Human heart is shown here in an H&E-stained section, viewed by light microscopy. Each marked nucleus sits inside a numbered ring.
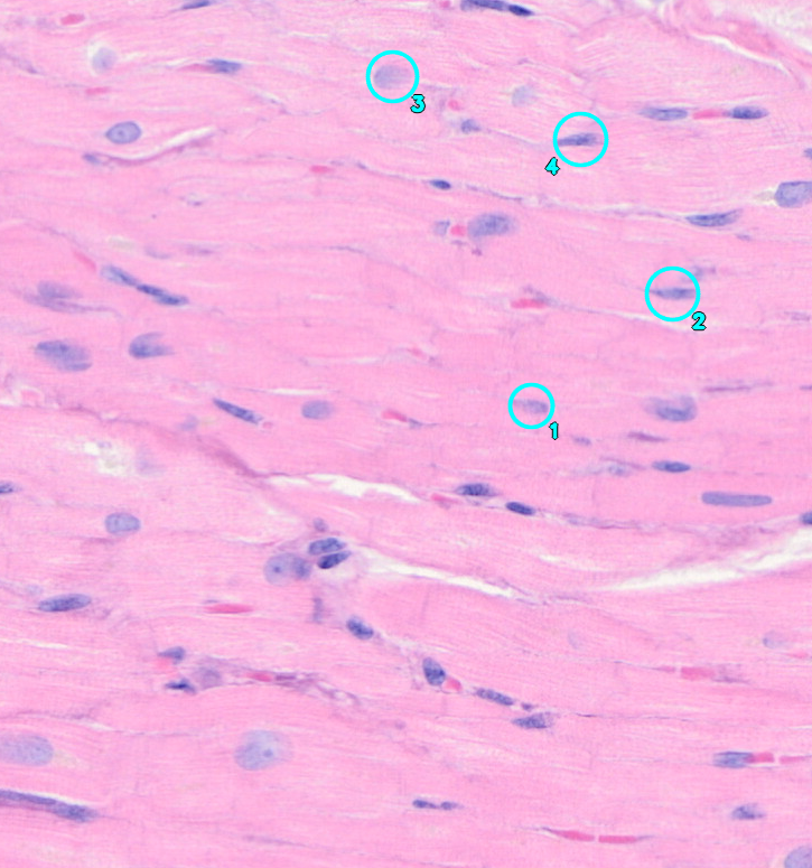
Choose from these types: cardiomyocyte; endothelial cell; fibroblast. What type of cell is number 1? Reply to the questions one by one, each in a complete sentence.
The cell pointed out by number 1 is a fibroblast.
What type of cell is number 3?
Recognised here as a cardiomyocyte is the cell numbered 3.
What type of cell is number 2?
The cell tagged with 2 in this tissue section is a fibroblast.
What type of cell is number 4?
In the marked set, the cell given number 4 is an endothelial cell.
